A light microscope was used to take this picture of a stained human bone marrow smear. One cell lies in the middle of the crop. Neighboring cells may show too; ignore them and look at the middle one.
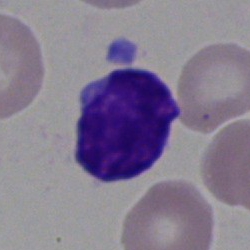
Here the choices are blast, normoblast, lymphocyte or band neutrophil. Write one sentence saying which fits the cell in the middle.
The central element of this crop is a cell, namely a blast.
